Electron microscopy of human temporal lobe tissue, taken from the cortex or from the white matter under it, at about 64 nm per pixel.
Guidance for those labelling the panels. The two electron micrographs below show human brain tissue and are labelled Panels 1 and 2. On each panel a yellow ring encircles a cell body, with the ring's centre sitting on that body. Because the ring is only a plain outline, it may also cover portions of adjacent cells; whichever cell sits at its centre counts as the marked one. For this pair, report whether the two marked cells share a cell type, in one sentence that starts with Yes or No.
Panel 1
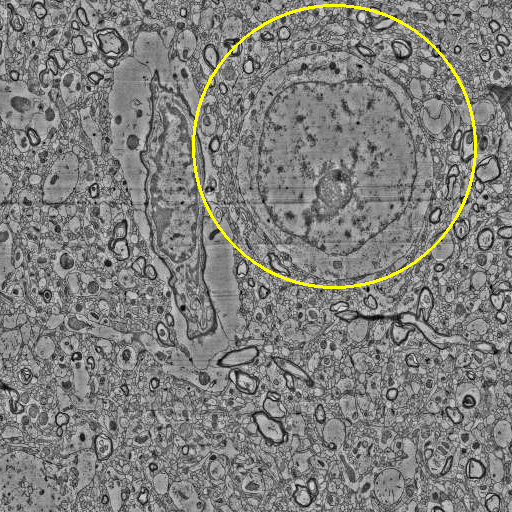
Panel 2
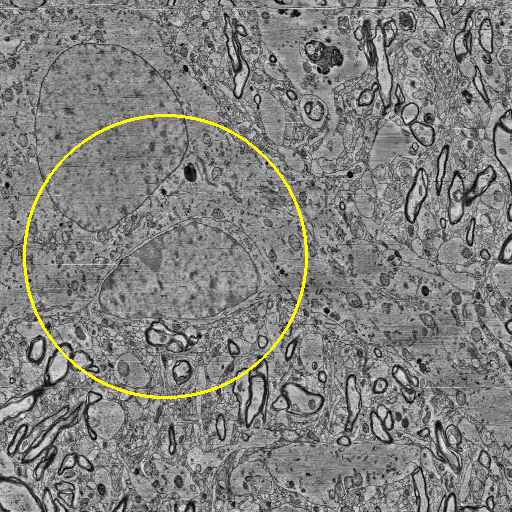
No, in Panel 1 and Panel 2 the marked cells at the ring centres are of two types.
